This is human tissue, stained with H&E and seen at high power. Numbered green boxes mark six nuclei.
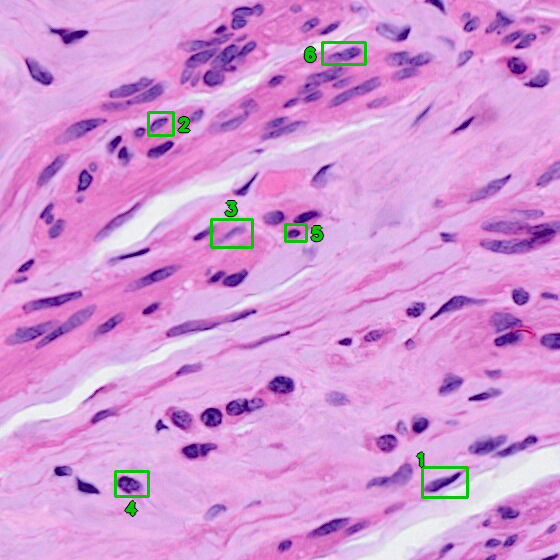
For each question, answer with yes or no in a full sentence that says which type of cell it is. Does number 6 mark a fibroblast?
No, the identification of cell 6 as a fibroblast is incorrect; it is a smooth muscle cell.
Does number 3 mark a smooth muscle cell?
Yes, so the cell at label 3 is a smooth muscle cell.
